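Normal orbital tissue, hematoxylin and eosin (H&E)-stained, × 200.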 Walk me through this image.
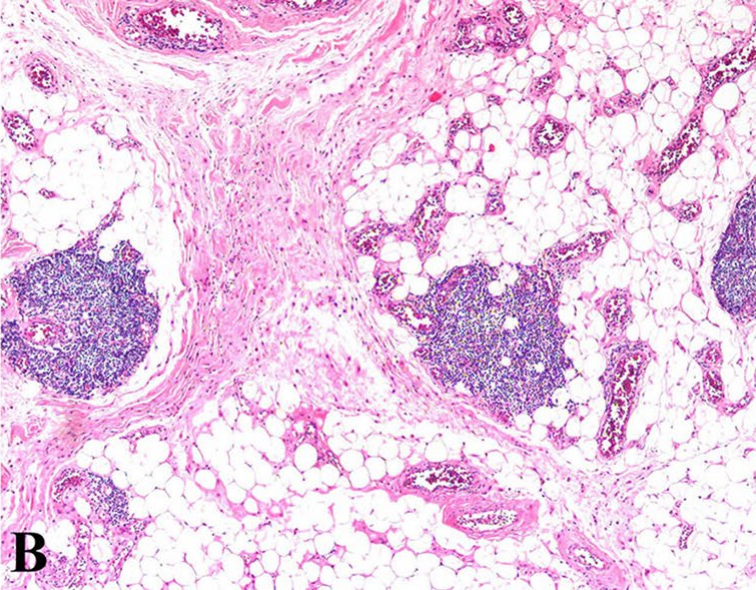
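This tissue is made mostly of fat, seen as large clear polygonal cells with thin walls forming a honeycomb. Bands of wavy pink fibrous connective tissue with sparse slender nuclei run between the lobules of fat. Numerous blood vessels, some thin channels and some with thicker pink walls, are filled with red blood cells. Dense clusters of small dark round cells also sit among the fat.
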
